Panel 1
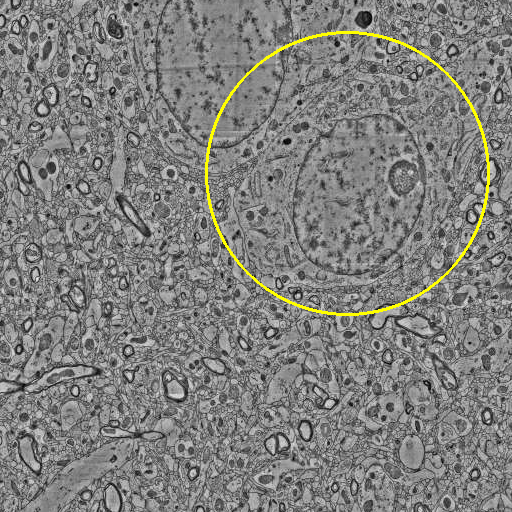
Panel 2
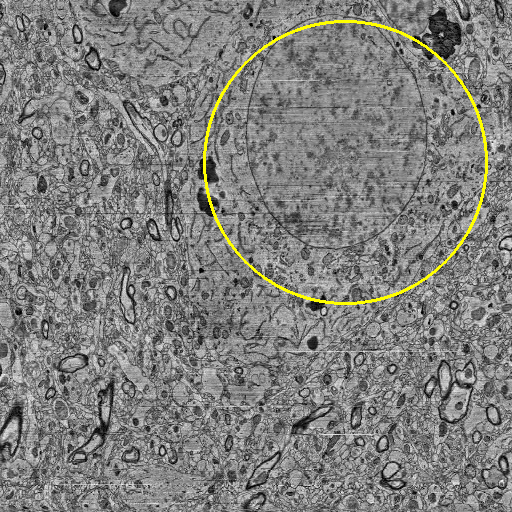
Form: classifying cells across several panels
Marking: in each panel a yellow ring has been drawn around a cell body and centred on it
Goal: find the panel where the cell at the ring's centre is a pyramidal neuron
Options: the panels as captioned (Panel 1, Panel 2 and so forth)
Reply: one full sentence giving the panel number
Panel 2 shows the wanted cell at the centre of its ring.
